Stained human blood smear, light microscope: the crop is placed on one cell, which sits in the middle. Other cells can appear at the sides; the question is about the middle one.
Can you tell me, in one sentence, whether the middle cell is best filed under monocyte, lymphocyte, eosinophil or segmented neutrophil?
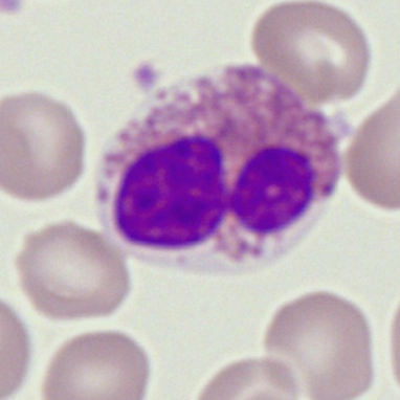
The cell marked by its central position in the crop is an eosinophil.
